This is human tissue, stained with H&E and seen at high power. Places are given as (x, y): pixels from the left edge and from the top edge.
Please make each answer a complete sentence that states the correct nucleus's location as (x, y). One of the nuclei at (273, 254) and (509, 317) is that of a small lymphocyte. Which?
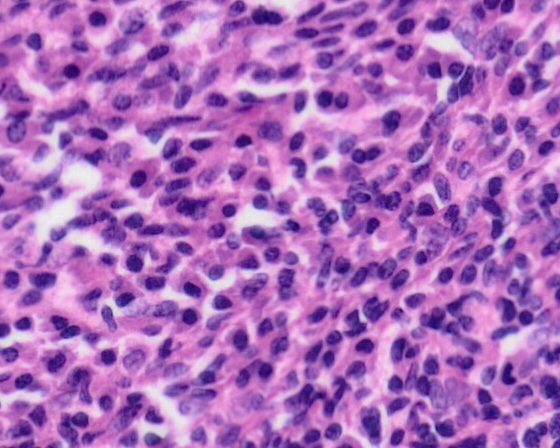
It is the nucleus at (509, 317) that belongs to a small lymphocyte.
